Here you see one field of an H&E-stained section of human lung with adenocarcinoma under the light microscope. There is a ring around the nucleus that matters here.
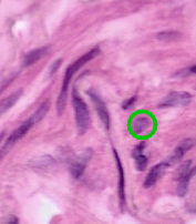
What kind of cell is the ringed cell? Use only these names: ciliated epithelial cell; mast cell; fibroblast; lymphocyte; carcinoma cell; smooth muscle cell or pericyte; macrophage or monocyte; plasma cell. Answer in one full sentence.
The cell type represented by the ringed cell is that of a smooth muscle cell or pericyte.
